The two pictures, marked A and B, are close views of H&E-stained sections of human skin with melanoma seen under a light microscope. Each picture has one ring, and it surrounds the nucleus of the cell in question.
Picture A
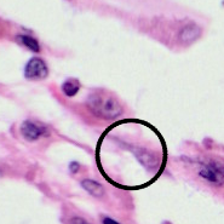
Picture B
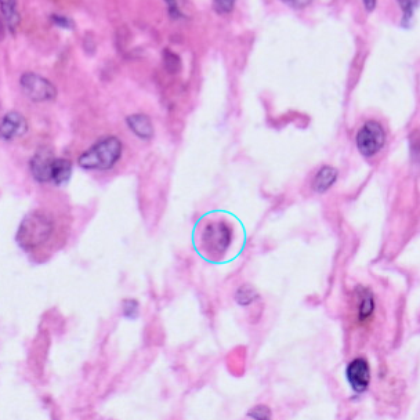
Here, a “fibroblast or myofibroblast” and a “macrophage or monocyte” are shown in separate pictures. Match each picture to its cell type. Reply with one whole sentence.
In picture A the cell is a “fibroblast or myofibroblast”; in picture B, a “macrophage or monocyte”.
